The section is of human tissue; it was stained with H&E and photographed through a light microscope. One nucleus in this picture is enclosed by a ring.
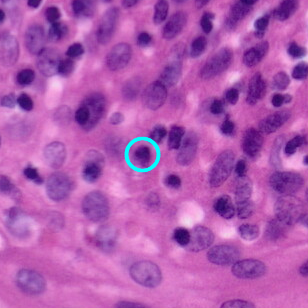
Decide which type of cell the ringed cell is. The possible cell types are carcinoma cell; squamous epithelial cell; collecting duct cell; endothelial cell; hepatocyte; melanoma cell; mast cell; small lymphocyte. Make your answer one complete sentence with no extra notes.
In terms of identity, the ringed cell is a squamous epithelial cell.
